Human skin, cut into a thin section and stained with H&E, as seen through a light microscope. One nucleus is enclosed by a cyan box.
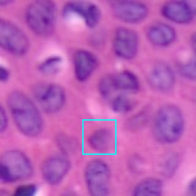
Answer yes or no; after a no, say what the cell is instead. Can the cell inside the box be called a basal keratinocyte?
Yes.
